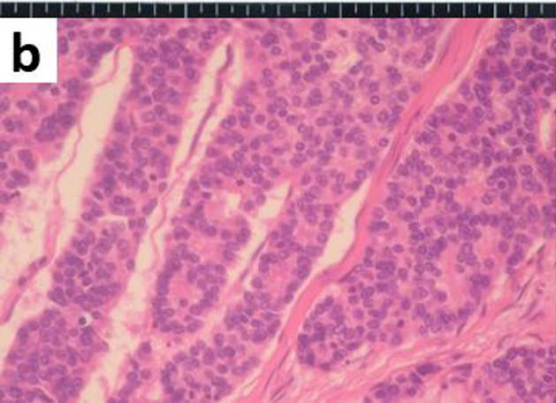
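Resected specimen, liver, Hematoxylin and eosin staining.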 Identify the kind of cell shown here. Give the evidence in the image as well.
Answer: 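Crowded cells with round dark purple nuclei. So: atypical cells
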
